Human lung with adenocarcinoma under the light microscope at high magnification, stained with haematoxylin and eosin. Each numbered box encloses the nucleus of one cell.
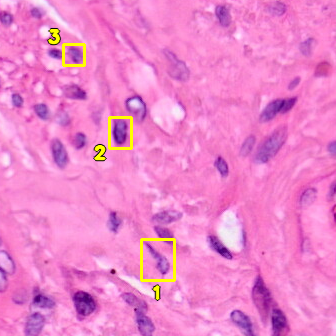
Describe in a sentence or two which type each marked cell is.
Cell 1 is a fibroblast, cell 2 is a mast cell and cell 3 is a smooth muscle cell or pericyte.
